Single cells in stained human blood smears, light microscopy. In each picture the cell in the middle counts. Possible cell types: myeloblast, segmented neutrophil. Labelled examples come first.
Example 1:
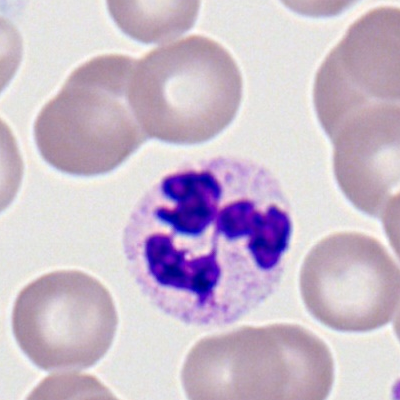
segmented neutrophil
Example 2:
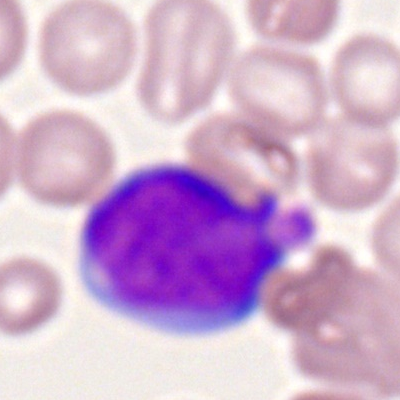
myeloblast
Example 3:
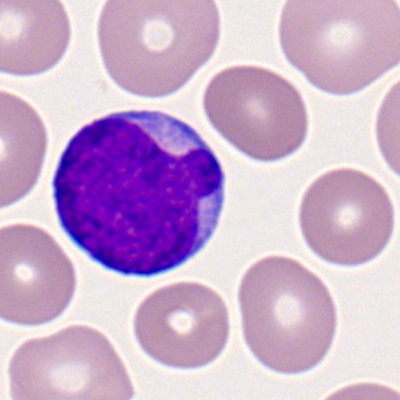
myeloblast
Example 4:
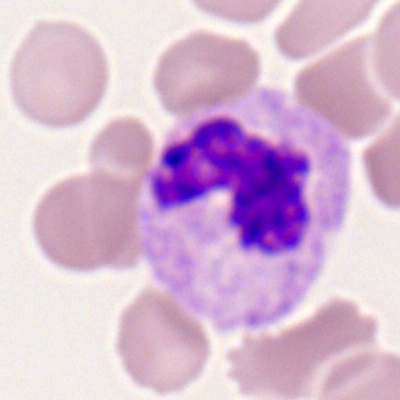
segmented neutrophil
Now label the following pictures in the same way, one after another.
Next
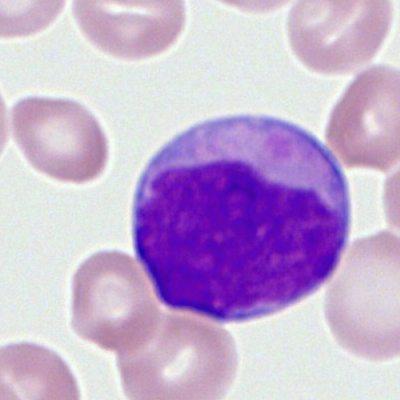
myeloblast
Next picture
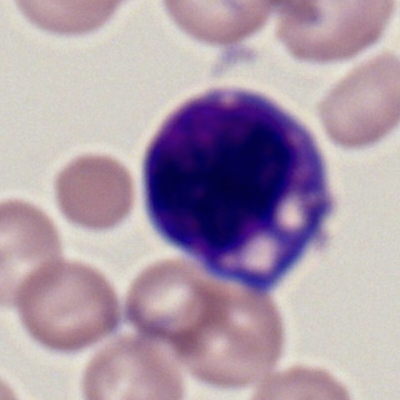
myeloblast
